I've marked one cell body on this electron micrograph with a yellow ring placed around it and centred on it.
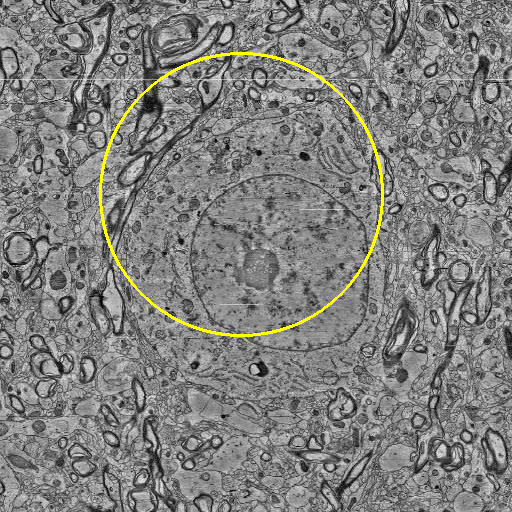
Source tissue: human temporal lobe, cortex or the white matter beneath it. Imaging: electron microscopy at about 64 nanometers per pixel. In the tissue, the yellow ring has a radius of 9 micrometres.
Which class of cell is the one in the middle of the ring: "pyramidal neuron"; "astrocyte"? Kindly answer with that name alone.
pyramidal neuron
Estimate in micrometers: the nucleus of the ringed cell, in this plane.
Approximately 12 micrometres across, in this plane.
